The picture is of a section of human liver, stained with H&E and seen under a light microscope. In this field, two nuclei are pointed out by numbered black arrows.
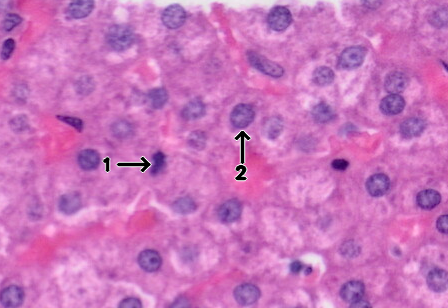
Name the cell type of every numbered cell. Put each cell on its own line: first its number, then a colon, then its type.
1: fibroblast or stellate cell
2: hepatocyte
